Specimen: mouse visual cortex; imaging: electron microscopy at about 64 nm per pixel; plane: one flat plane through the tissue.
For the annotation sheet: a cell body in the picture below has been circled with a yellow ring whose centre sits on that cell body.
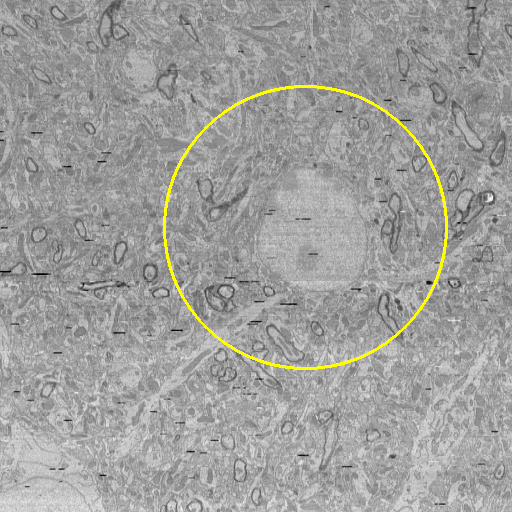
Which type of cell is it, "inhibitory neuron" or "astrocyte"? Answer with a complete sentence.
The circled cell is an astrocyte.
